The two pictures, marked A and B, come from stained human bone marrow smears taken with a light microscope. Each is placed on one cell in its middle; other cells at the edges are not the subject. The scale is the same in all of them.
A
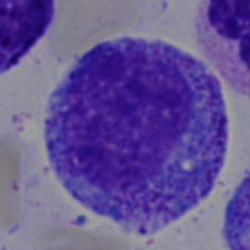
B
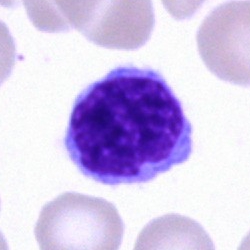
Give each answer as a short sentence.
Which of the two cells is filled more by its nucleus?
In crop B the nucleus takes up the larger part of its cell.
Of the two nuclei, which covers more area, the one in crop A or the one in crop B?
It is the nucleus in crop A, about 1.5 times as large in area as the one in crop B.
